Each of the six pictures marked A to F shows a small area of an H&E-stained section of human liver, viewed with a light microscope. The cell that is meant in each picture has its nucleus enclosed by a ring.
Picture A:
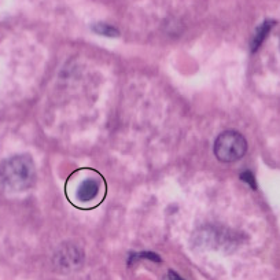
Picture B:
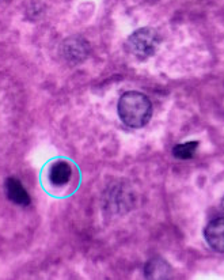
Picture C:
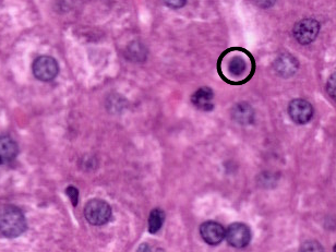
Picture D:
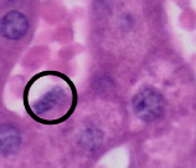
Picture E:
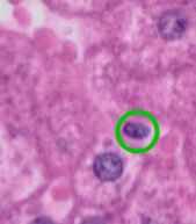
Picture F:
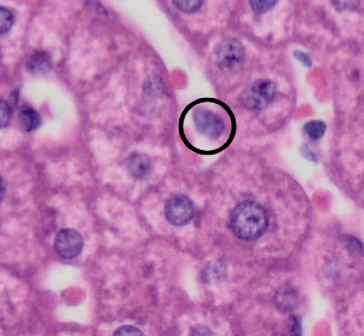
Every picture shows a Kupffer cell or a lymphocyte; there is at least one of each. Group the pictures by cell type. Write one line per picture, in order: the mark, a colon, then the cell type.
A: lymphocyte
B: lymphocyte
C: lymphocyte
D: Kupffer cell
E: lymphocyte
F: Kupffer cell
